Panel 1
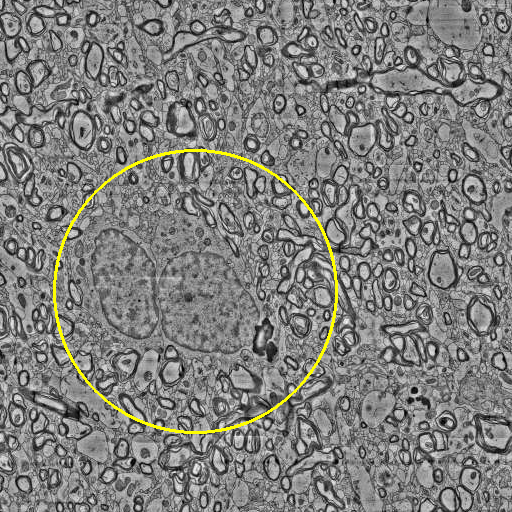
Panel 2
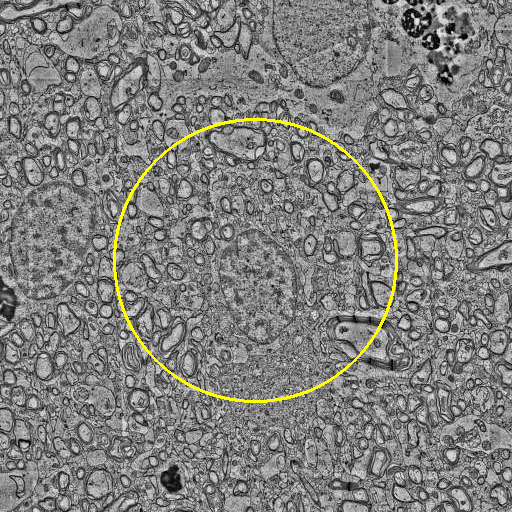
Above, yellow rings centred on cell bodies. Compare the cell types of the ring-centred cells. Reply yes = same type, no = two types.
yes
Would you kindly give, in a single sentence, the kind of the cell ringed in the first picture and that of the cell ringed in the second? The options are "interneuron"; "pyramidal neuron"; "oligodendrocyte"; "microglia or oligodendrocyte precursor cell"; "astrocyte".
The ring centre holds an oligodendrocyte in each of the two pictures.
